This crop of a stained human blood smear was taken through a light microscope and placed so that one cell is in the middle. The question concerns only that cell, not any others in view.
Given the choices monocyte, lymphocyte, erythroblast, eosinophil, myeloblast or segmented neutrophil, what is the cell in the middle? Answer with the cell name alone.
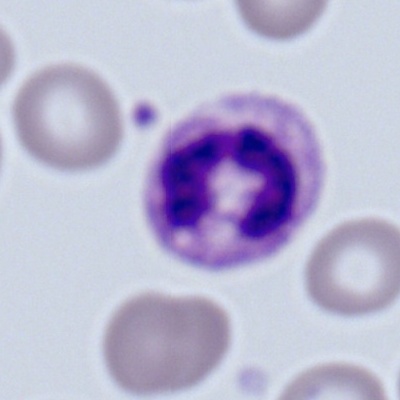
segmented neutrophil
